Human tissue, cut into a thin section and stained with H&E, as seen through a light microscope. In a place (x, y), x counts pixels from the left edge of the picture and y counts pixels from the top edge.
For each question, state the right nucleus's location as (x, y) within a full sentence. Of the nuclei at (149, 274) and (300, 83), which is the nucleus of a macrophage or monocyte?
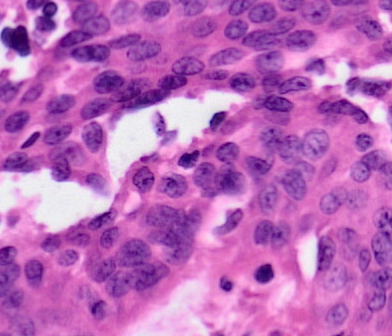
Heads up, the nucleus at (300, 83) is the one that belongs to a macrophage or monocyte.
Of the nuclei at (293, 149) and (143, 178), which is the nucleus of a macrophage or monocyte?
The nucleus positioned at (143, 178) forms part of a macrophage or monocyte.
